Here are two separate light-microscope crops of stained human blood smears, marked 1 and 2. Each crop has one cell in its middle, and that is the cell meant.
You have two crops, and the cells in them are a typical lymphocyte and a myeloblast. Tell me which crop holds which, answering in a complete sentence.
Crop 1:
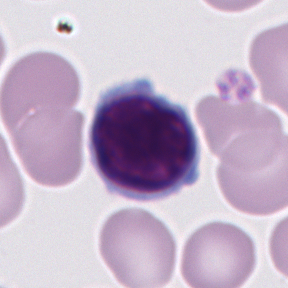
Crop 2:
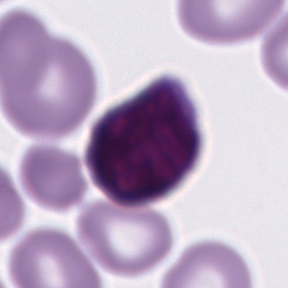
Recognised in crop 1 is a typical lymphocyte, and recognised in crop 2 is a myeloblast.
